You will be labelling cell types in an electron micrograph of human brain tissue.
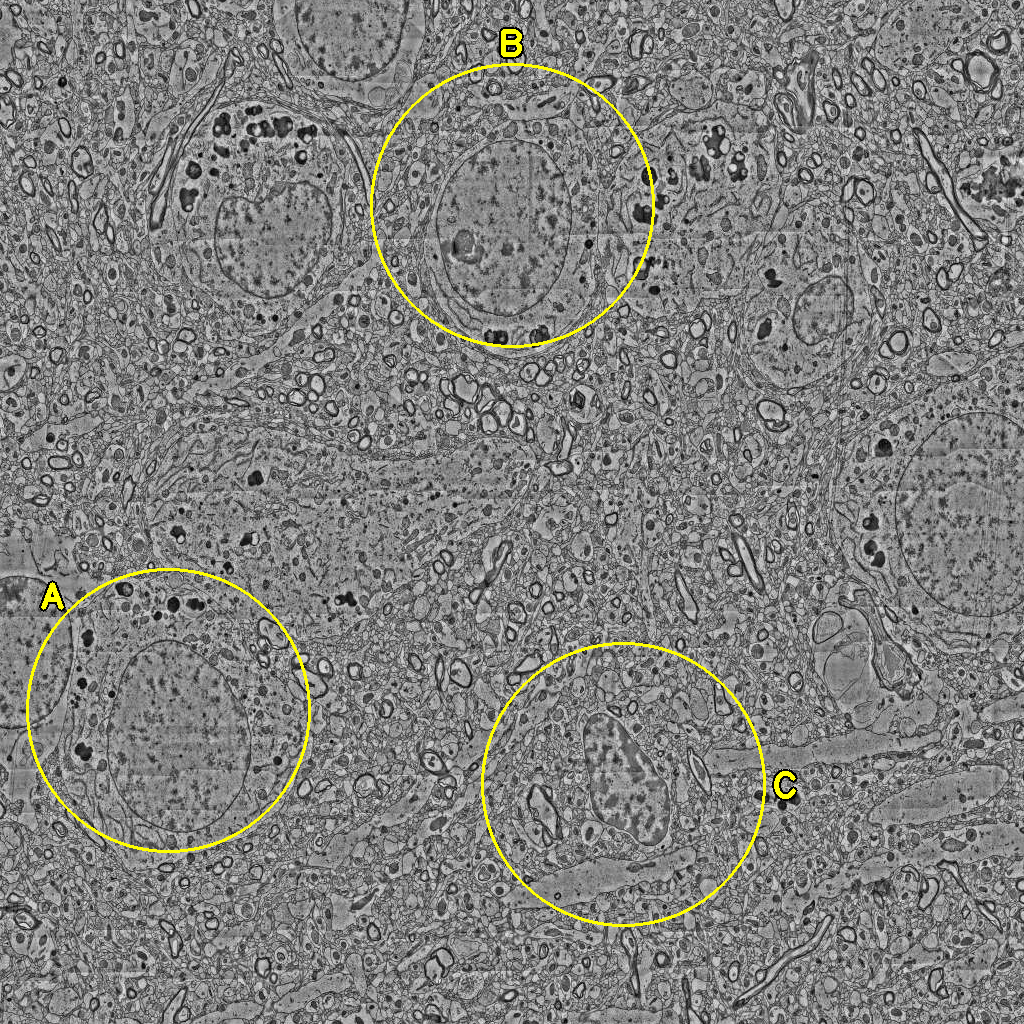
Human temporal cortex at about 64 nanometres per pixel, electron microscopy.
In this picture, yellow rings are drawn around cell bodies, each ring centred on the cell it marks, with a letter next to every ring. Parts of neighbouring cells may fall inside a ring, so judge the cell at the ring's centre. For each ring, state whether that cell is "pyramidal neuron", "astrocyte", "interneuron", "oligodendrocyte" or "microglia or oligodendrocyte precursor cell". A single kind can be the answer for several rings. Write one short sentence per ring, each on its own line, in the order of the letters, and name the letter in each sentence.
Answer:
Ring A contains a pyramidal neuron at its centre.
Ring B contains a pyramidal neuron at its centre.
Ring C contains a microglial cell or oligodendrocyte precursor cell at its centre.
